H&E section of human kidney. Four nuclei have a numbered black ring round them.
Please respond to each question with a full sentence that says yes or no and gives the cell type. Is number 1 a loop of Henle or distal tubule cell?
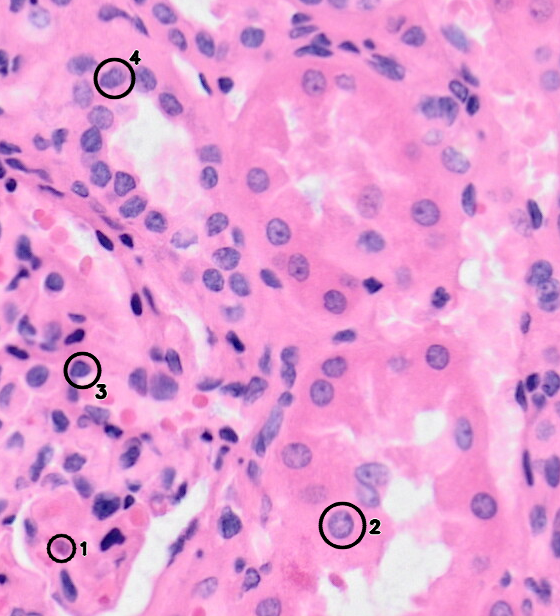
No. Cell number 1 is an endothelial cell, not a loop of Henle or distal tubule cell.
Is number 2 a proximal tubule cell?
Yes, the cell marked by the number 2 is a proximal tubule cell.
